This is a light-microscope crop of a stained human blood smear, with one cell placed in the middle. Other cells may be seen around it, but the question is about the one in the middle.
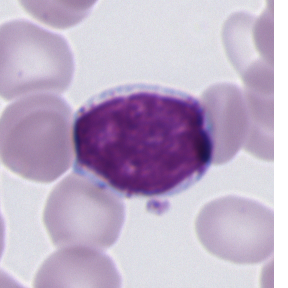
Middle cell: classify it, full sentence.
For this crop, the cell in the middle is a large granular lymphocyte.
